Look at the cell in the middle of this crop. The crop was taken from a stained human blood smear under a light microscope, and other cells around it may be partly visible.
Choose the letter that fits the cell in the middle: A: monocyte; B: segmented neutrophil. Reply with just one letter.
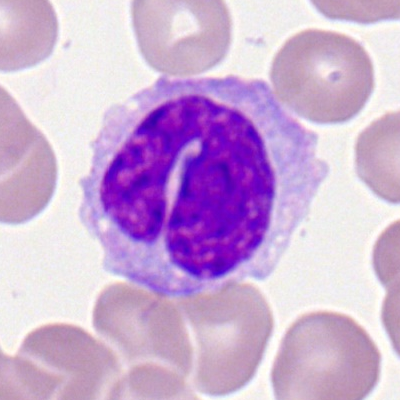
A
